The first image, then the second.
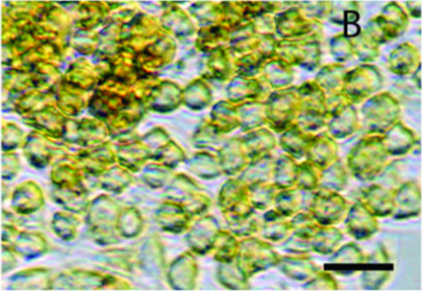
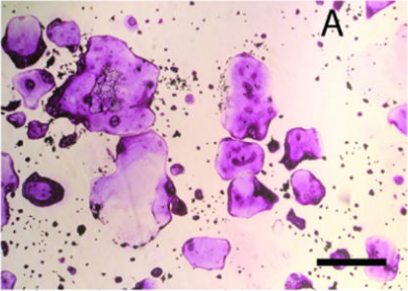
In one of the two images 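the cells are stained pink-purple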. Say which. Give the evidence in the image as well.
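First image: small rounded cells appear gold-green with no pink or purple colour. Second image: large cells are strongly stained purple-pink.
Hence: the second image.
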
